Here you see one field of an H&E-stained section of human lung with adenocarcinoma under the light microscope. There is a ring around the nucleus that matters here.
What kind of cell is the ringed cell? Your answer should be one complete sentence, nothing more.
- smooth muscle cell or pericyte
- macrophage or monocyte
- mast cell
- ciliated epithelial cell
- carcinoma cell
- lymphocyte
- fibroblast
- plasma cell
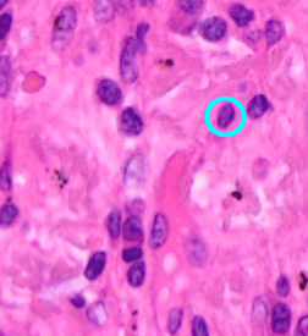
As for its identity, the ringed cell is a mast cell.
